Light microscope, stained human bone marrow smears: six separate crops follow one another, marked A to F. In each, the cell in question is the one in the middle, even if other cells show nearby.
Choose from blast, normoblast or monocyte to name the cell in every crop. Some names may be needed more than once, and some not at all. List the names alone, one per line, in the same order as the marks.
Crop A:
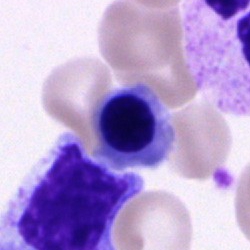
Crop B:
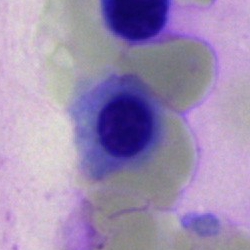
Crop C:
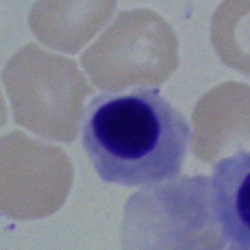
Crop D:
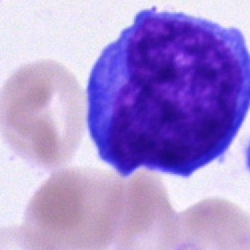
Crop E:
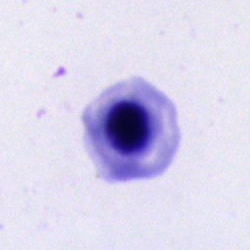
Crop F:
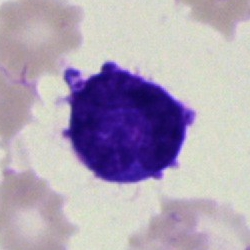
normoblast
normoblast
normoblast
blast
normoblast
blast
